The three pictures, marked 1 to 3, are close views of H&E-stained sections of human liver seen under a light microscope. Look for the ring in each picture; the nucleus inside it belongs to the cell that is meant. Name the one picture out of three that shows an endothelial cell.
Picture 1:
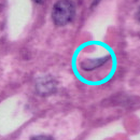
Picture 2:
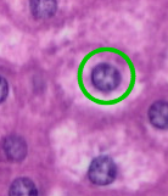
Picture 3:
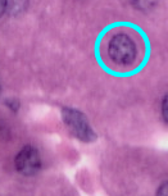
1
